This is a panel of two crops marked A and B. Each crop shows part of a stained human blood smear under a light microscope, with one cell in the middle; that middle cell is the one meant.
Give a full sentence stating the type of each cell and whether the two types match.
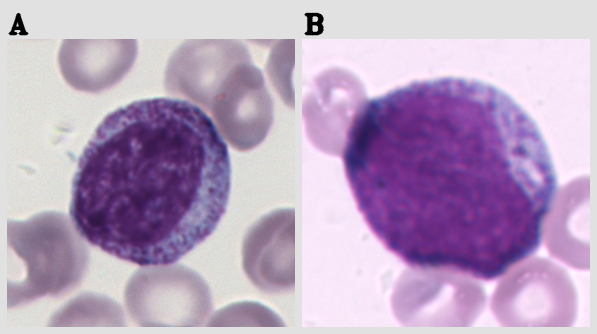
Yes, both crops show promyelocytes at their middles.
